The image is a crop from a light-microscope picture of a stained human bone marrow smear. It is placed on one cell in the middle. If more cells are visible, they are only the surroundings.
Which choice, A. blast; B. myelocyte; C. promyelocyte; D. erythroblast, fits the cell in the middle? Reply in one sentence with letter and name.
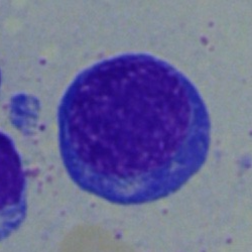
The central cell in this crop is an erythroblast, so the correct choice is option D.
